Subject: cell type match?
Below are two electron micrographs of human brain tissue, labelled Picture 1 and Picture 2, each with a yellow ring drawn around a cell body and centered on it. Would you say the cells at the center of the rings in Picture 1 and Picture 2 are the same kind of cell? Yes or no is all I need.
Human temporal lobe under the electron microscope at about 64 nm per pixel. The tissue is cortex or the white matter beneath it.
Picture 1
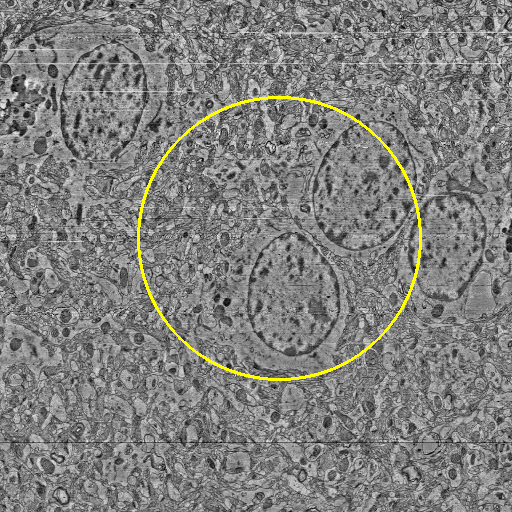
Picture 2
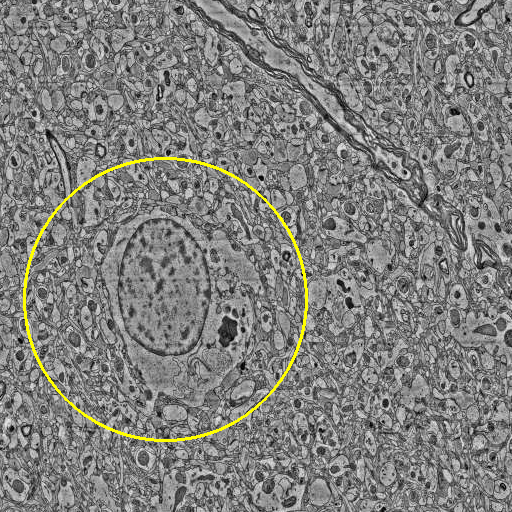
yes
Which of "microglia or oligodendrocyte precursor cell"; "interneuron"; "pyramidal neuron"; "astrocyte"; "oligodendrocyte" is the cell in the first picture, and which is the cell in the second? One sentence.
Each one of the two ringed cells is an astrocyte.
